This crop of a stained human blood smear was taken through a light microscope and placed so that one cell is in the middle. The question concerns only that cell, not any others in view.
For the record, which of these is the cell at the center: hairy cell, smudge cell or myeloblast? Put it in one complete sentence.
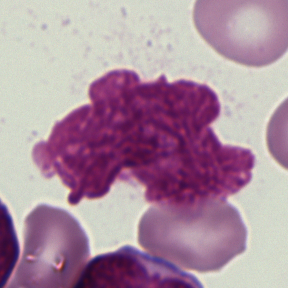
Present in the middle of the crop is a smudge cell.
